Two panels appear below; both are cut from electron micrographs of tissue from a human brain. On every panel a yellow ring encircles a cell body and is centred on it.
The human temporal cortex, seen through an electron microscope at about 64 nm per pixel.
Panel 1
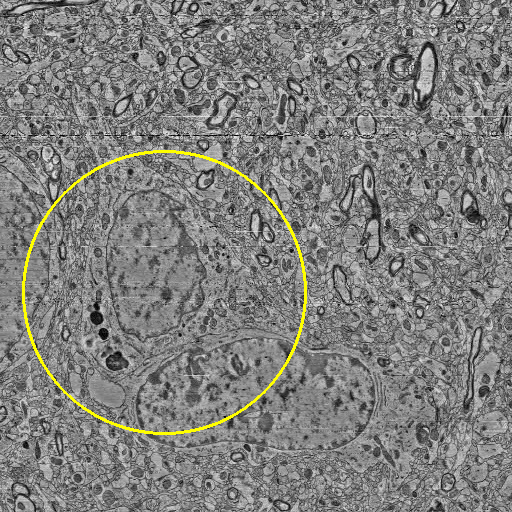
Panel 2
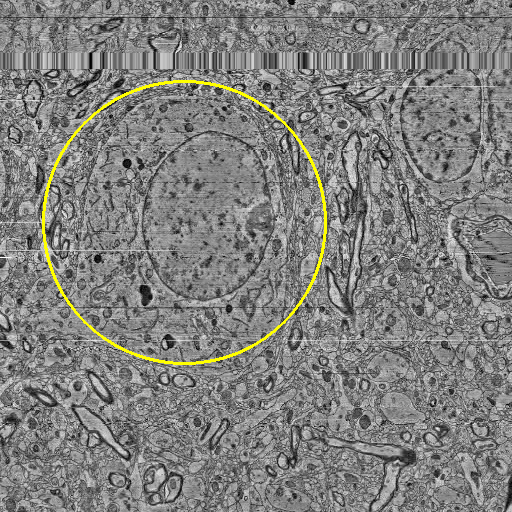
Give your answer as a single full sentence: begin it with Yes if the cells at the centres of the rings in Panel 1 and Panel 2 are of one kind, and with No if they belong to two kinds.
Yes, the cells in the middle of the rings in Panels 1 and 2 are of one kind.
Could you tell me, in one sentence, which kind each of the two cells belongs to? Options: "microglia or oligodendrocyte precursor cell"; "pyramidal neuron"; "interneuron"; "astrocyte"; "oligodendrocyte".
Each of the two cells is a pyramidal neuron.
